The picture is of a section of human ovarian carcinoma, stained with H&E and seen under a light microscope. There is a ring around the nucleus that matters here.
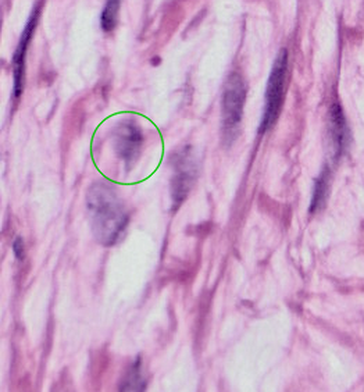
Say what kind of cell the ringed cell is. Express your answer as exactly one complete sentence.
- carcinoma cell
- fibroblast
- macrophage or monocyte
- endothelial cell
In this tissue section, the ringed cell is to be classed as a fibroblast.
